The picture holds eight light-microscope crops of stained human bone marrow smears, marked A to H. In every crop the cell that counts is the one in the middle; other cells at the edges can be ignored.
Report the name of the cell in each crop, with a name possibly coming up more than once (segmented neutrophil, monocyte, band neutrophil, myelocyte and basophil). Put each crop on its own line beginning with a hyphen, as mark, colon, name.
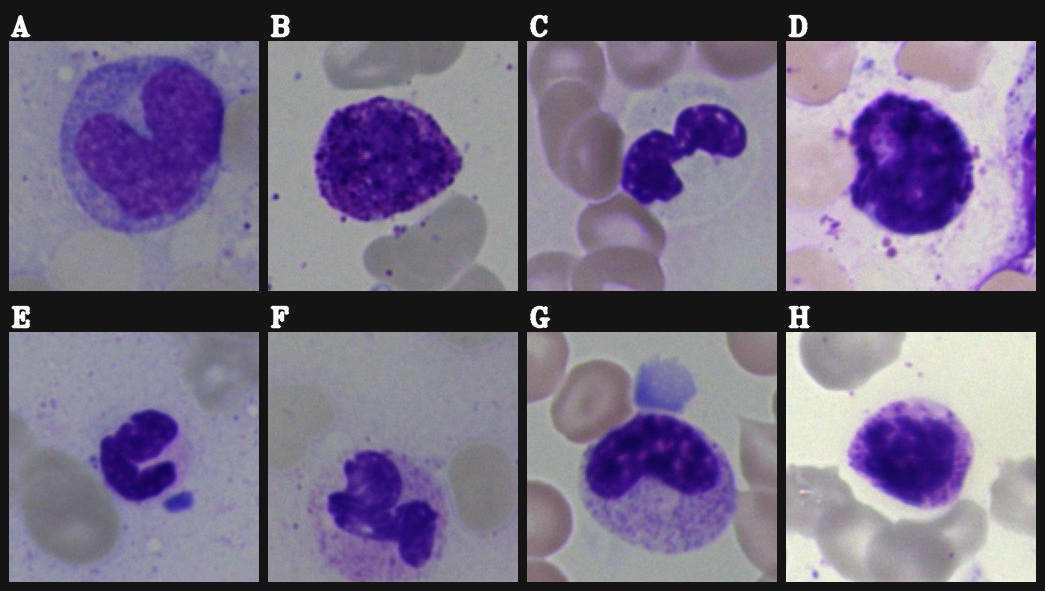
- A: monocyte
- B: basophil
- C: segmented neutrophil
- D: basophil
- E: segmented neutrophil
- F: segmented neutrophil
- G: band neutrophil
- H: basophil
